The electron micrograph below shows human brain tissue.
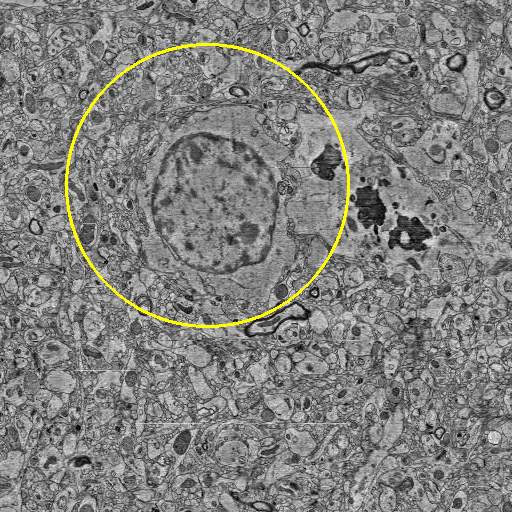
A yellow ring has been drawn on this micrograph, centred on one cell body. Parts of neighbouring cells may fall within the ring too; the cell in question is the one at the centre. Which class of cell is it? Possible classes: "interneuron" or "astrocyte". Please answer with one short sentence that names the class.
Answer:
In the centre of the ring sits an astrocyte.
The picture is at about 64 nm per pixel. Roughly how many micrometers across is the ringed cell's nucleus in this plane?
In this plane the nucleus spans approximately 9 by 8 micrometers.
